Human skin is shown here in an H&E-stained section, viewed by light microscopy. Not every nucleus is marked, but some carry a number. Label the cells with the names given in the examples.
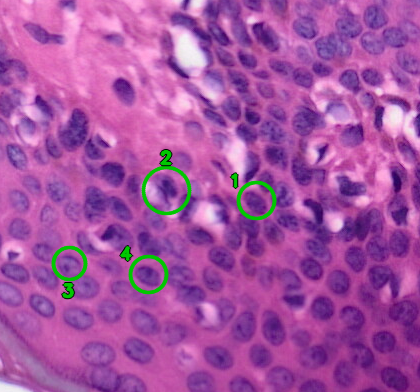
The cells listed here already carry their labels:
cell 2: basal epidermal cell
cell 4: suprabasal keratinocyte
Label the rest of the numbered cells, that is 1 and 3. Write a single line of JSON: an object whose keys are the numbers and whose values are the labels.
{"1": "basal epidermal cell", "3": "suprabasal keratinocyte"}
